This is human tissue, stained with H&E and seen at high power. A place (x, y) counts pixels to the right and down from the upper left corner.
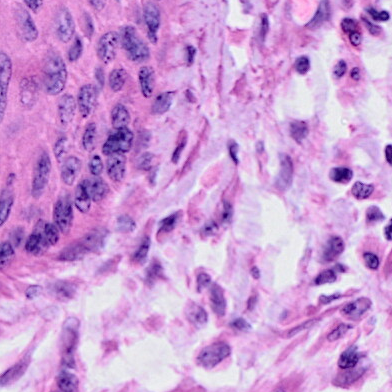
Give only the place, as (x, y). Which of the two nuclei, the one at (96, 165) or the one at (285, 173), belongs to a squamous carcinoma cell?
(96, 165)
